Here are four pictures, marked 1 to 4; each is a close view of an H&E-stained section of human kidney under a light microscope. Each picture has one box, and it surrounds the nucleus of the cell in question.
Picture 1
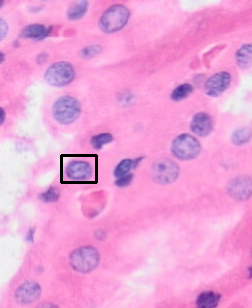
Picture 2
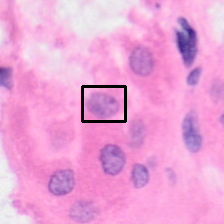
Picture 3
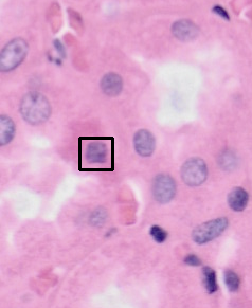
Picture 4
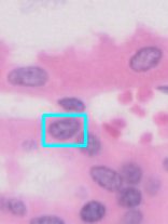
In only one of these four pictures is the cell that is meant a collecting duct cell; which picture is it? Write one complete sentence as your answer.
Picture 4 shows the collecting duct cell.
